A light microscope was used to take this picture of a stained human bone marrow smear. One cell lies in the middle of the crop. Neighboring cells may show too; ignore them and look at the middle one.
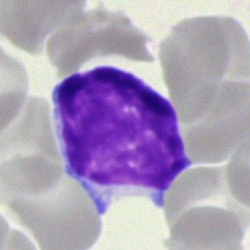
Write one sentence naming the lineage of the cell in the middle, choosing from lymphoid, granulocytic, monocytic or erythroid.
The correct lineage for the cell at the center is the lymphoid one.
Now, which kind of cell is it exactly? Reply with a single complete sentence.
By classification, the middle cell of this crop is a lymphocyte.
